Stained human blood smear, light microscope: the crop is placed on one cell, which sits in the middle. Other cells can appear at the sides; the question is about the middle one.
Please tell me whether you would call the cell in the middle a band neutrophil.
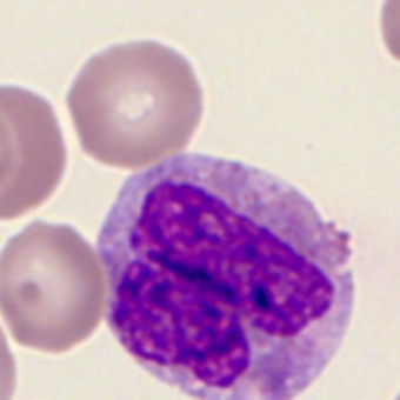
no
